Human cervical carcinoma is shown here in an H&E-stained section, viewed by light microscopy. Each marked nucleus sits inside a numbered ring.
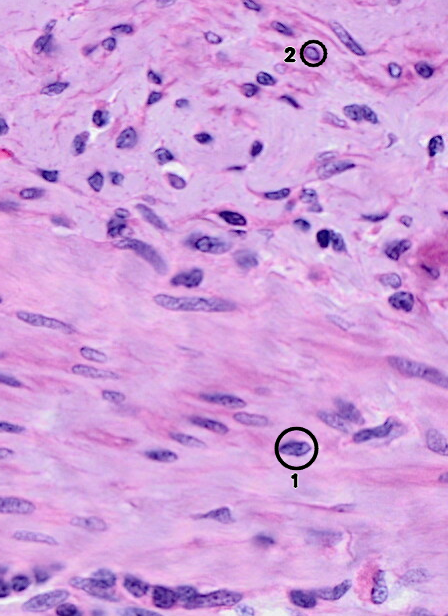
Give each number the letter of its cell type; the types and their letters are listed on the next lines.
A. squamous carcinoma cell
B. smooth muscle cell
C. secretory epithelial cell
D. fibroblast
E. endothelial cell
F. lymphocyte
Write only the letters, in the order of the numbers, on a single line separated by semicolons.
F; B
